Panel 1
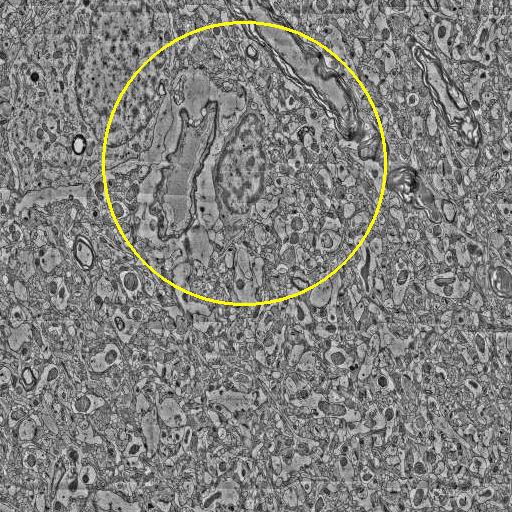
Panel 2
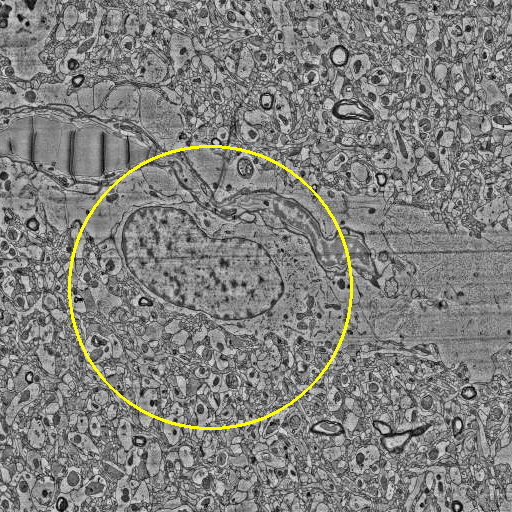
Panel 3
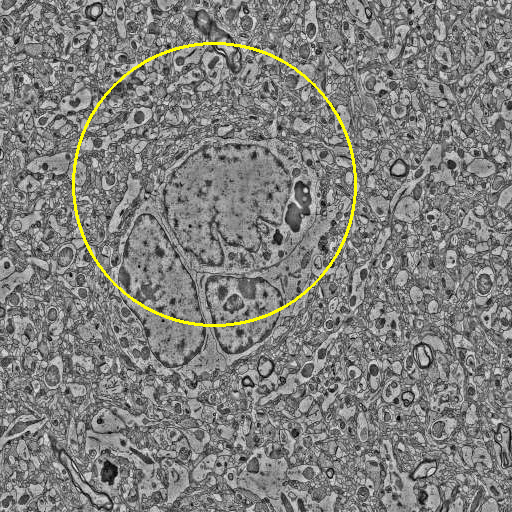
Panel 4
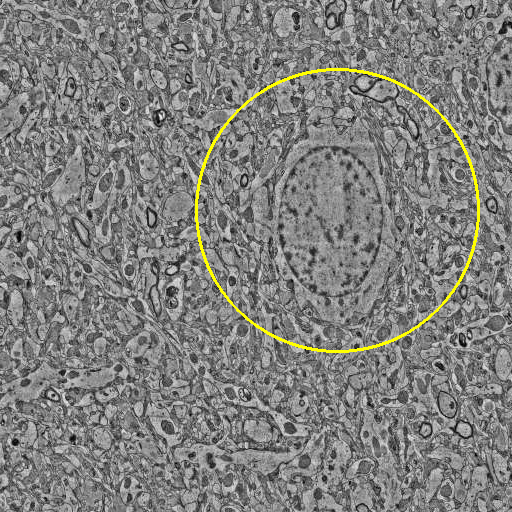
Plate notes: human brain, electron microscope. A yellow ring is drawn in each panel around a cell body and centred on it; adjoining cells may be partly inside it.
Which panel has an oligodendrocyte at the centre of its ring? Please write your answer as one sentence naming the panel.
The ring in Panel 1 is centred on such a cell.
